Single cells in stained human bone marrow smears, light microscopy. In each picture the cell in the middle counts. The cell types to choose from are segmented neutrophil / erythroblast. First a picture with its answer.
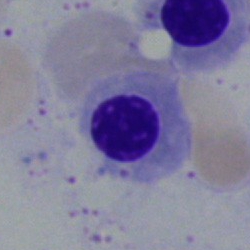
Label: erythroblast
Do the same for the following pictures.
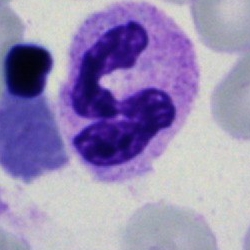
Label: segmented neutrophil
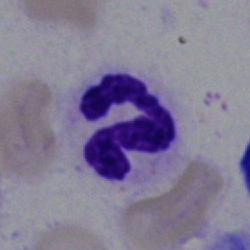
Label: segmented neutrophil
